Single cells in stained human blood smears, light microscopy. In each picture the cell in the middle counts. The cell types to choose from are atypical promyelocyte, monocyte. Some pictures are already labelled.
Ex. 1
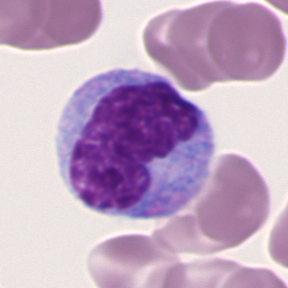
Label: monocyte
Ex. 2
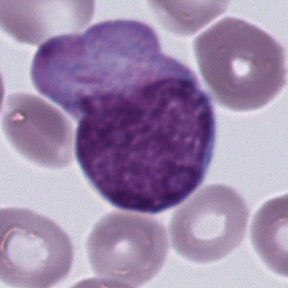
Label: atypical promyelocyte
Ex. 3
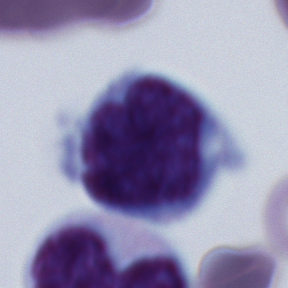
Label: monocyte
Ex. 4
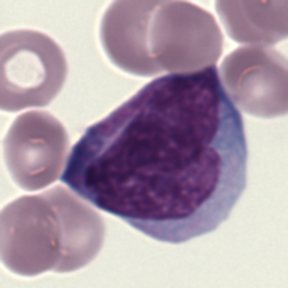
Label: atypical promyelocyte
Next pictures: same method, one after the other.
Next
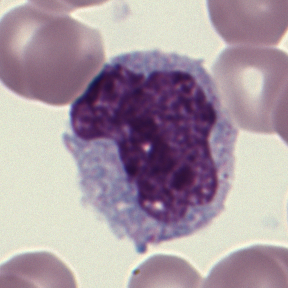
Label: monocyte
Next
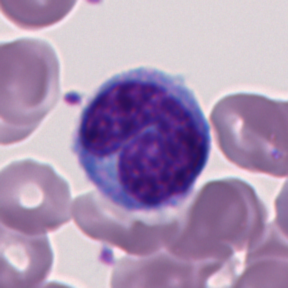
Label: monocyte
